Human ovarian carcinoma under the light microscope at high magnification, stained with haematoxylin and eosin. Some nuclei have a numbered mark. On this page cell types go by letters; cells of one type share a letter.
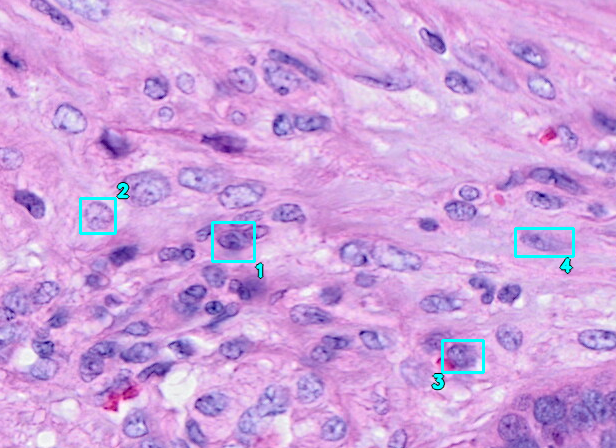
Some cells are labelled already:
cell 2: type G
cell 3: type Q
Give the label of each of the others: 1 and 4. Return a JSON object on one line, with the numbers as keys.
{"1": "type Q", "4": "type G"}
